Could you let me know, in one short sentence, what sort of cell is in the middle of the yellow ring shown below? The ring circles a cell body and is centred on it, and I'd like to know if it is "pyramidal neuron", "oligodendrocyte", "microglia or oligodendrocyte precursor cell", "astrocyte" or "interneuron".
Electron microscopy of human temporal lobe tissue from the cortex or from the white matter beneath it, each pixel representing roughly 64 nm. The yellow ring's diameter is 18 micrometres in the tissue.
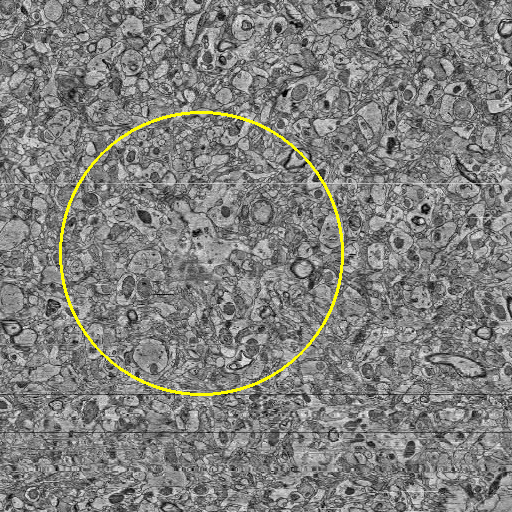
The ring circles the cell body of an oligodendrocyte.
